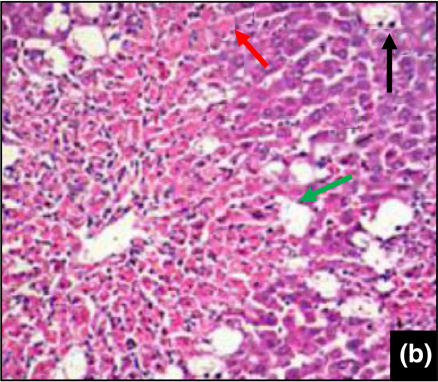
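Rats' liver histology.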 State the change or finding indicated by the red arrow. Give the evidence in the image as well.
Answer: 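Necrosis of hepatic cells. The arrow points to an area of intensely pink hepatocytes with indistinct outlines.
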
